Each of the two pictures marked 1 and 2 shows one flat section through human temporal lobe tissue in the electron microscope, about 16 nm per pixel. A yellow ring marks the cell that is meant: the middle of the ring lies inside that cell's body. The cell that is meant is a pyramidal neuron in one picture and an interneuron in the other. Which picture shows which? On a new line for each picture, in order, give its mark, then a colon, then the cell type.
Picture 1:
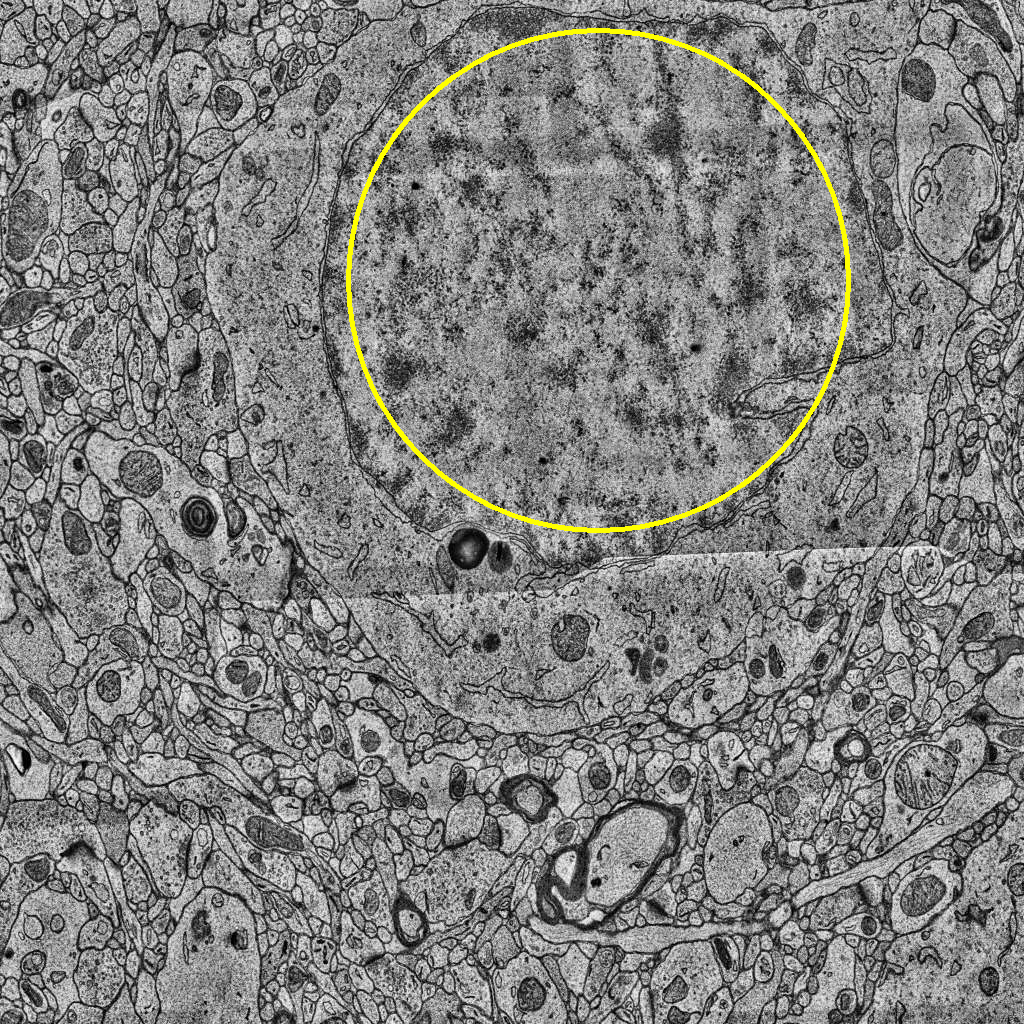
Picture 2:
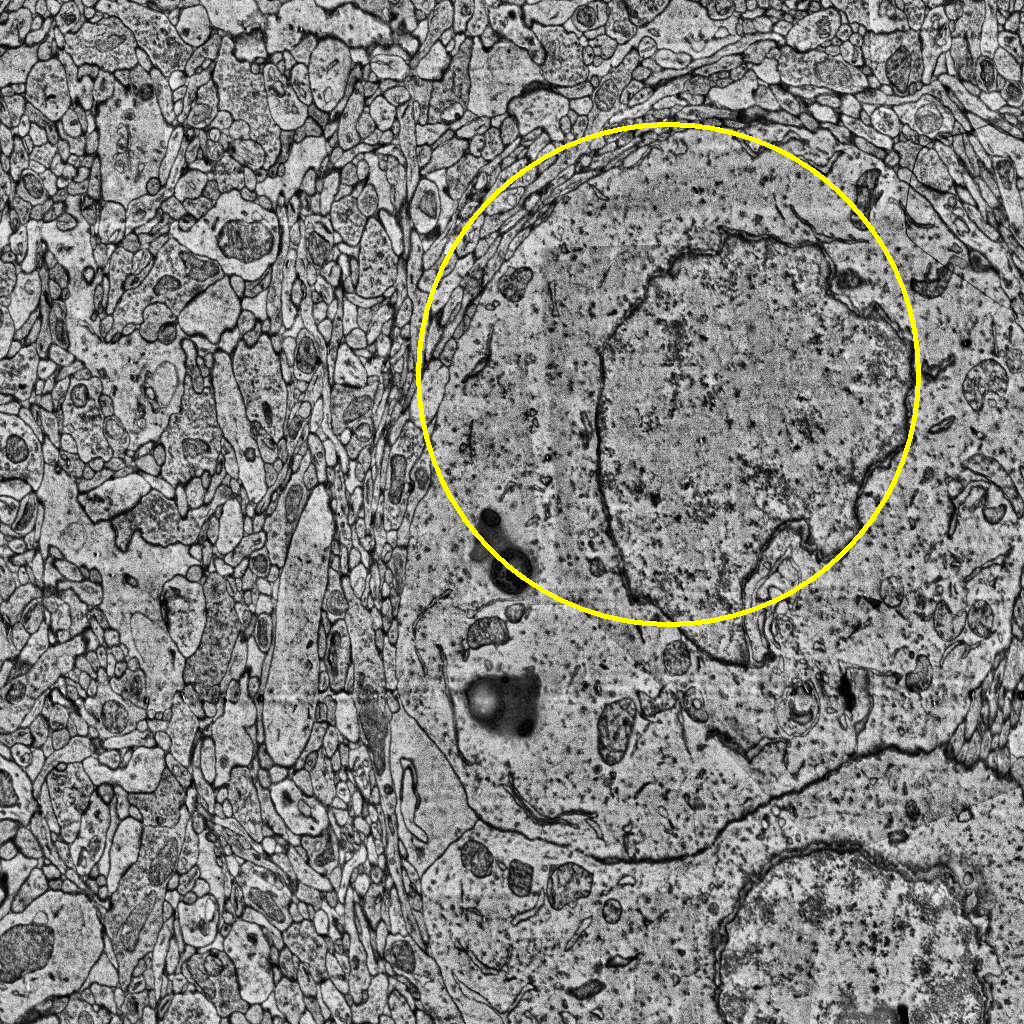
1: interneuron
2: pyramidal neuron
